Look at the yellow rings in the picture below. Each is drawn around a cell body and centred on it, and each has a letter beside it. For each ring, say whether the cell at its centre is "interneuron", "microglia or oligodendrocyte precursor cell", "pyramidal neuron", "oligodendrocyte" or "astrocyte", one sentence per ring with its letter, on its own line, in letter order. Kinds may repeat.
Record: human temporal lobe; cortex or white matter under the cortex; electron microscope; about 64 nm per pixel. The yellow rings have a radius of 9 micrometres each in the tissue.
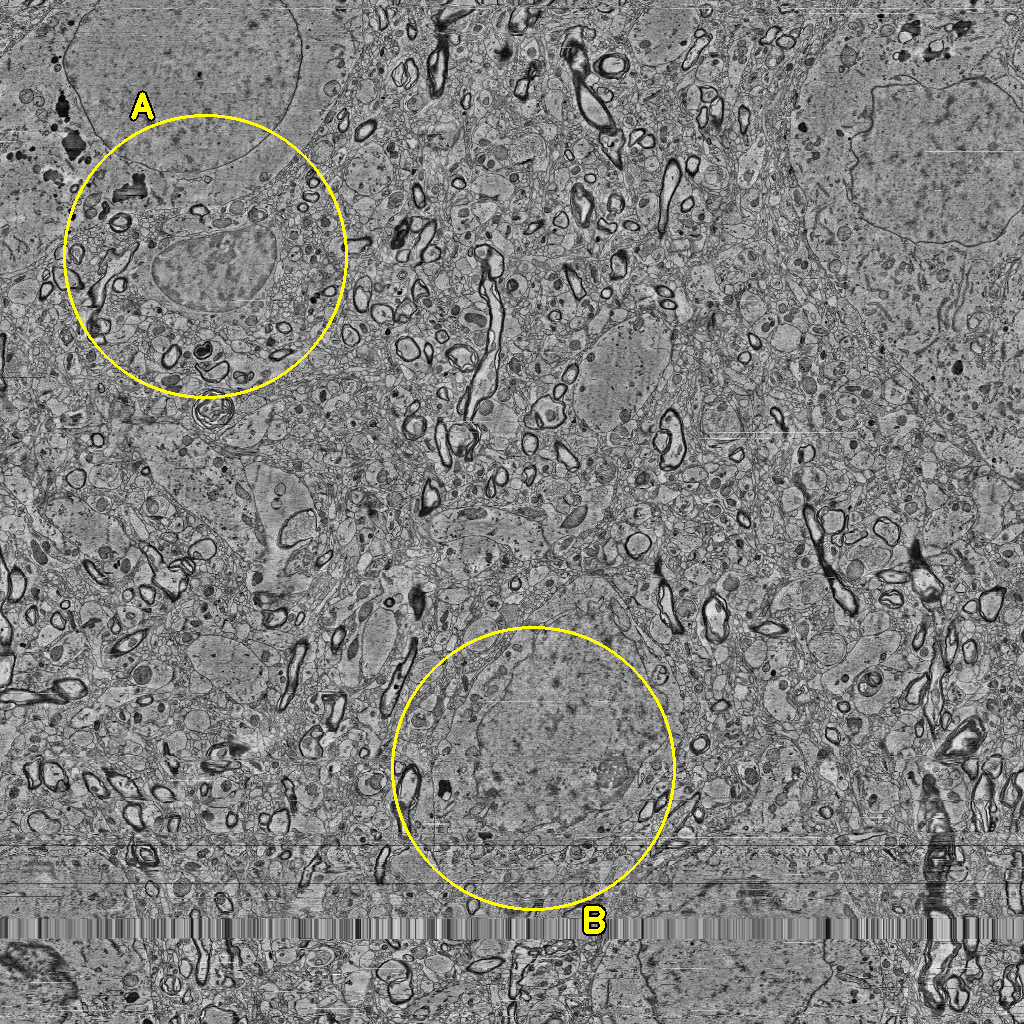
The centred cell of ring A is an oligodendrocyte.
The centred cell of ring B is an interneuron.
